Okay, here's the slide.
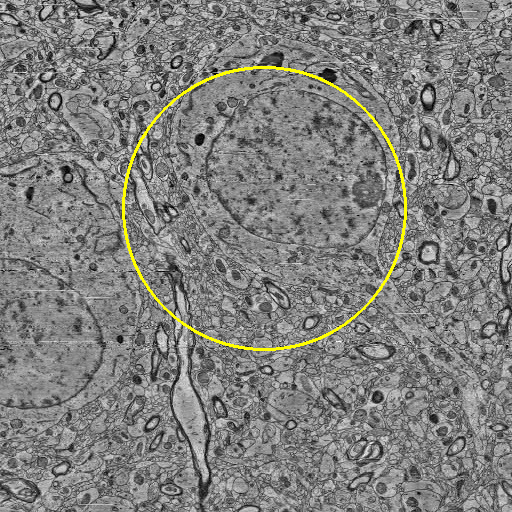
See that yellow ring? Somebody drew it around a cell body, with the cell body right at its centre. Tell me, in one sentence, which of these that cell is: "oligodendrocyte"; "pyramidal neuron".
The cell in the middle of the ring is a pyramidal neuron.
